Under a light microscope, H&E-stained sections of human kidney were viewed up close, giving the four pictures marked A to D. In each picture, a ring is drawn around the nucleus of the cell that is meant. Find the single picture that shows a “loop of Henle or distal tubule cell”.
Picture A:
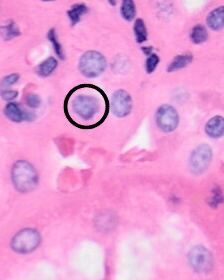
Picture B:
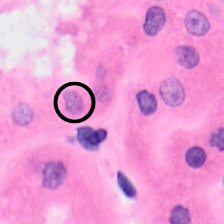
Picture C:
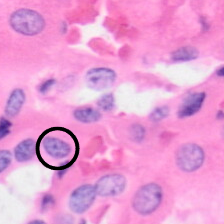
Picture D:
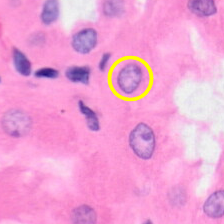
A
